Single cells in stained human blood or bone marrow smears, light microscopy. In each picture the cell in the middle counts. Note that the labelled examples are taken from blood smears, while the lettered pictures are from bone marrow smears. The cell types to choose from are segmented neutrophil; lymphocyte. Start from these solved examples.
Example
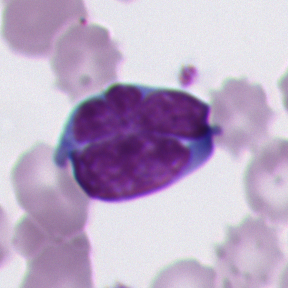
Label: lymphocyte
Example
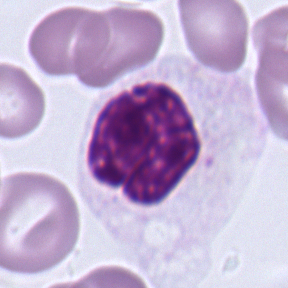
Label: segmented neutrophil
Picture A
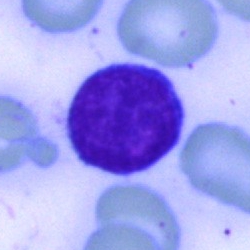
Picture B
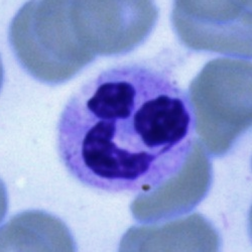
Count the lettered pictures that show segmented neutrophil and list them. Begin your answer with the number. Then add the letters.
1: B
